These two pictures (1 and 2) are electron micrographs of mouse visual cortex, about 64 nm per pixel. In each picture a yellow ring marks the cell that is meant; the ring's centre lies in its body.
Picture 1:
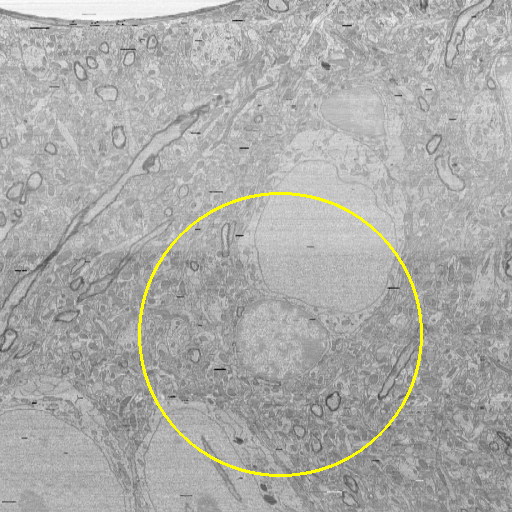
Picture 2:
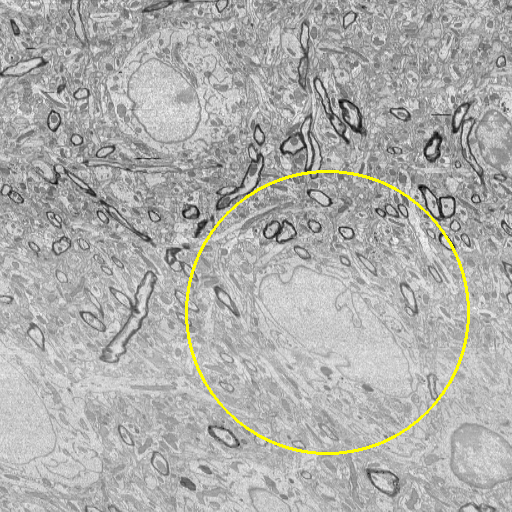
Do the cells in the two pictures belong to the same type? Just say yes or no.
no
